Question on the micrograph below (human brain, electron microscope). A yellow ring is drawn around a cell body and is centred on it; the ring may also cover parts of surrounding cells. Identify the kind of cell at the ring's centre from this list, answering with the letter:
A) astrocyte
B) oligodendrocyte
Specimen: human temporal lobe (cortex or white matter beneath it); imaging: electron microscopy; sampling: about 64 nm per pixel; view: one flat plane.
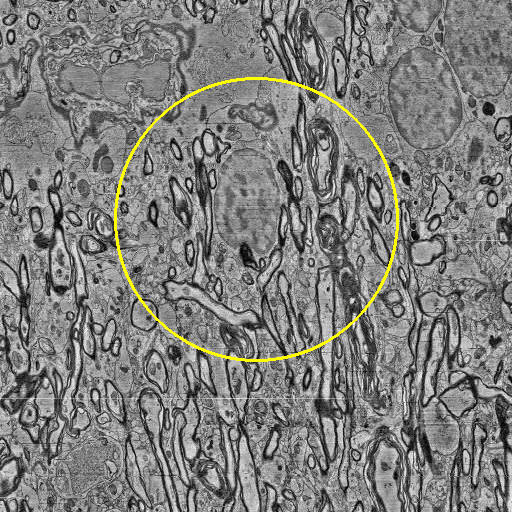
B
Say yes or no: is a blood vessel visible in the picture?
Yes, there is one.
